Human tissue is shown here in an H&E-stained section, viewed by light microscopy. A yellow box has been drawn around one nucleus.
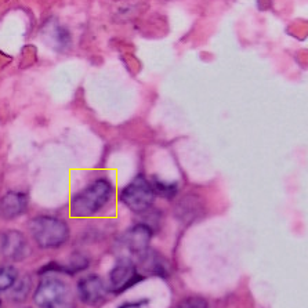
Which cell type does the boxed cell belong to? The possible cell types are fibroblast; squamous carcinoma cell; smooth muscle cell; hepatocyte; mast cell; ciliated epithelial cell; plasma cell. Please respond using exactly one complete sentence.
As classified here, the boxed cell is a ciliated epithelial cell.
